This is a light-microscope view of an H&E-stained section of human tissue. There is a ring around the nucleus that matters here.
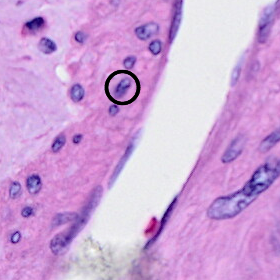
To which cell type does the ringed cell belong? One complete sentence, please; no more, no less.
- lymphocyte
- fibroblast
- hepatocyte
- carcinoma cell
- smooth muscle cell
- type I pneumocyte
The identity of the ringed cell: it is a smooth muscle cell.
